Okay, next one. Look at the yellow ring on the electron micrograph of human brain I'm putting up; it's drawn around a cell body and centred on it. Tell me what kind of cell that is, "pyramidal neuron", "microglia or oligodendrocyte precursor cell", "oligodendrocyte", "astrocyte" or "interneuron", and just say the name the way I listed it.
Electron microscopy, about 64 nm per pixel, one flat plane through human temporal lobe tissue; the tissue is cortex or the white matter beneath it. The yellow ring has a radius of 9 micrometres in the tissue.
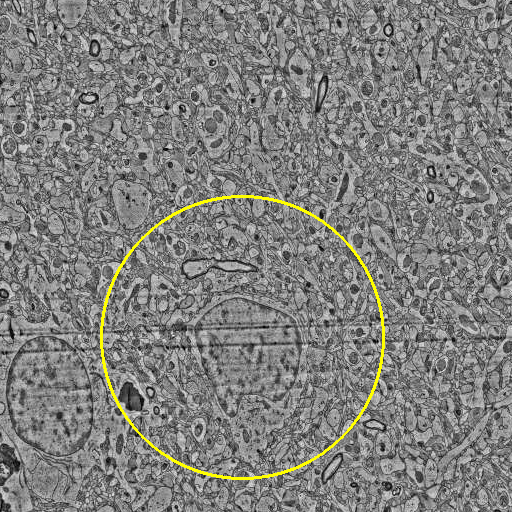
microglia or oligodendrocyte precursor cell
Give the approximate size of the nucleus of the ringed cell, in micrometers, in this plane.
In this plane, the nucleus of the cell at the centre of the ring is about 7 micrometres across.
